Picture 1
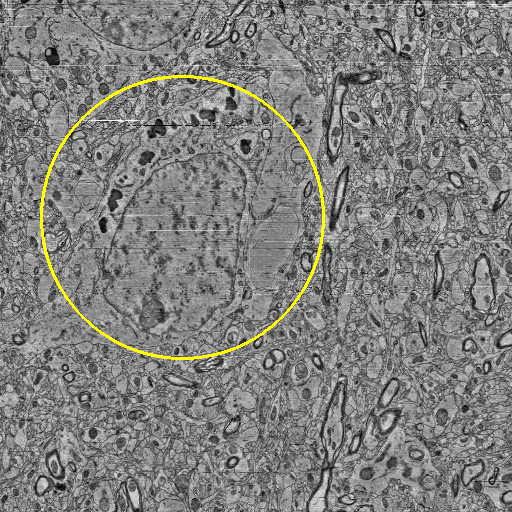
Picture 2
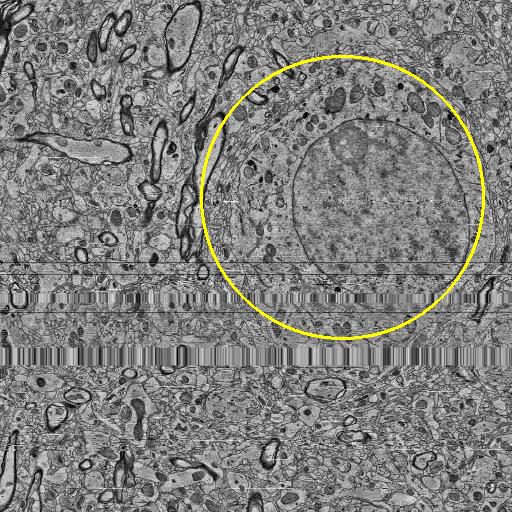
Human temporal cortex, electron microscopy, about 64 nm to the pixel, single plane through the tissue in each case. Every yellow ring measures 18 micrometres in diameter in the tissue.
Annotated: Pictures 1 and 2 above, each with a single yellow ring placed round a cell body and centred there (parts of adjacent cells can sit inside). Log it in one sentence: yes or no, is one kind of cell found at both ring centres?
Yes, the ring centres of the two pictures hold cells of one kind.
